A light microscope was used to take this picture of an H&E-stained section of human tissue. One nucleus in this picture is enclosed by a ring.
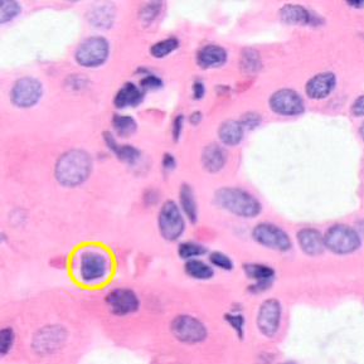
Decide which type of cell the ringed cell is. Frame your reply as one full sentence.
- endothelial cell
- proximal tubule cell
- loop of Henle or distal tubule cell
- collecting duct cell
By its classification, the ringed cell is an endothelial cell.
